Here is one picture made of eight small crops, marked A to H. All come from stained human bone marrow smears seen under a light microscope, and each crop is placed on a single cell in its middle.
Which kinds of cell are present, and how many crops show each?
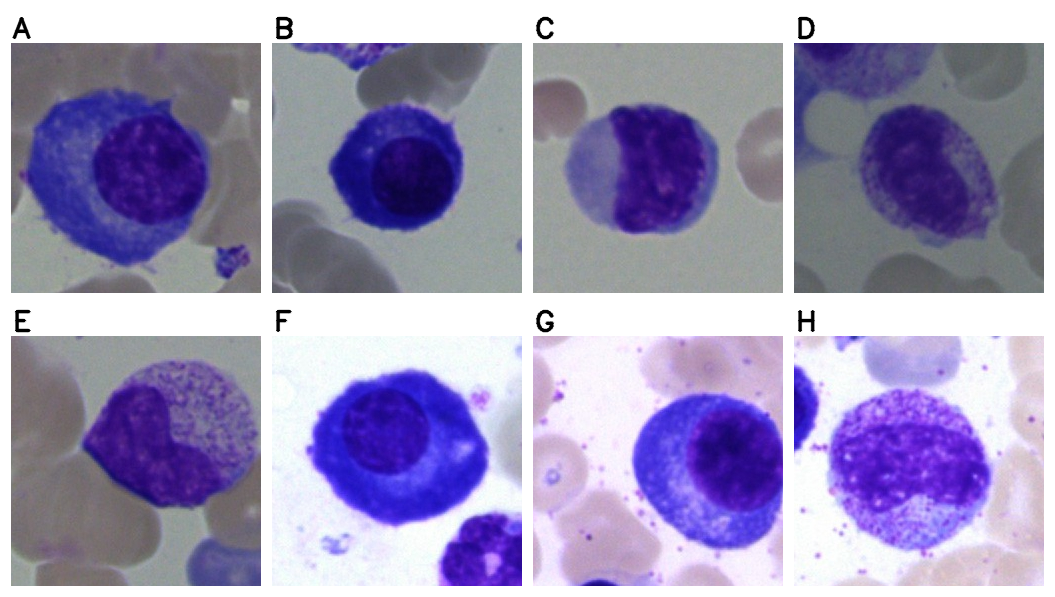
plasma cell: 4
metamyelocyte: 4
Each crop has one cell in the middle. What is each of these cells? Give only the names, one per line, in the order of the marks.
plasma cell
plasma cell
metamyelocyte
metamyelocyte
metamyelocyte
plasma cell
plasma cell
metamyelocyte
